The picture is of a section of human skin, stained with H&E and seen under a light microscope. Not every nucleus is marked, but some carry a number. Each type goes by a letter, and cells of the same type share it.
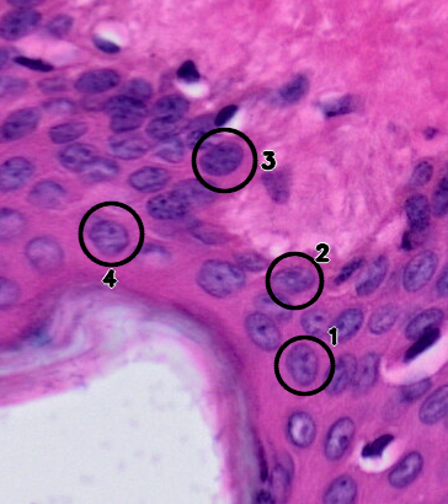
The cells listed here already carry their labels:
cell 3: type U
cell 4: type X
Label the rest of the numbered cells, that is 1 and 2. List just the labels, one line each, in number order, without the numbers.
type X
type U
